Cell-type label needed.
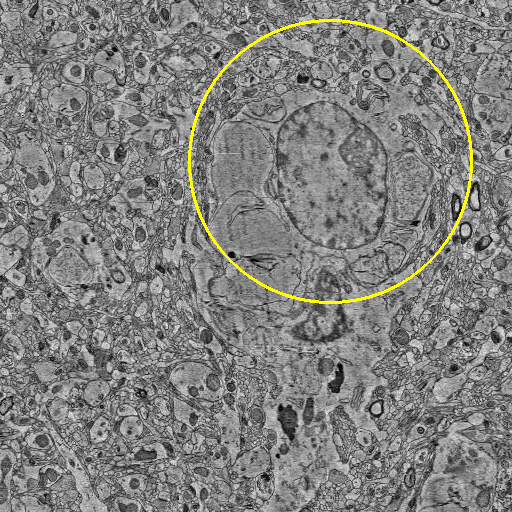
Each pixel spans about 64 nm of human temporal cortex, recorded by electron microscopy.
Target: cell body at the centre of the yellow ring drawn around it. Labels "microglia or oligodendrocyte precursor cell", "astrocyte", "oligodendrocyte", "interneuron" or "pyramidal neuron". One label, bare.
astrocyte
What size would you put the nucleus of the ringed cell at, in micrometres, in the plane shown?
Approximately 10 by 7 micrometers in this plane.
